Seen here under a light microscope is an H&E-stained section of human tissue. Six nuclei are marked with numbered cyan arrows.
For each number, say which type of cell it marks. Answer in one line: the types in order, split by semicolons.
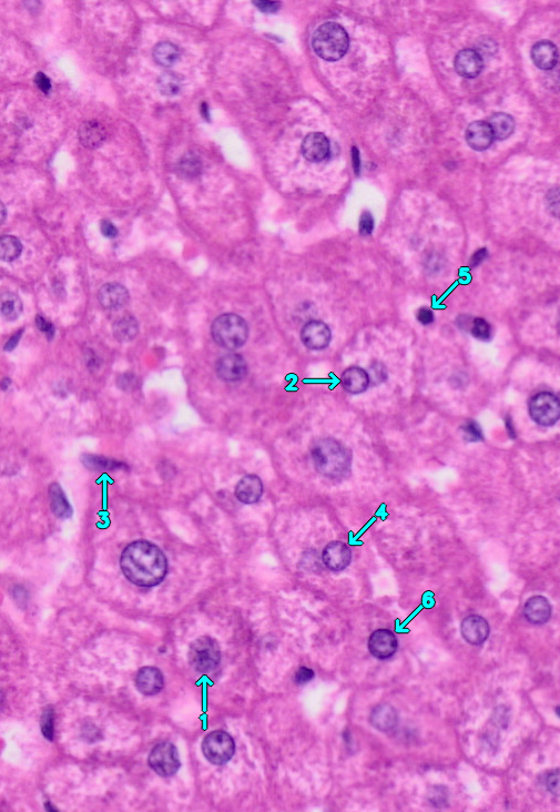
hepatocyte; hepatocyte; Kupffer cell; hepatocyte; lymphocyte; hepatocyte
